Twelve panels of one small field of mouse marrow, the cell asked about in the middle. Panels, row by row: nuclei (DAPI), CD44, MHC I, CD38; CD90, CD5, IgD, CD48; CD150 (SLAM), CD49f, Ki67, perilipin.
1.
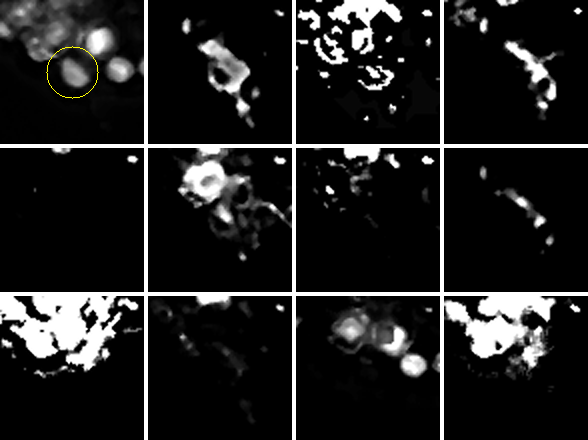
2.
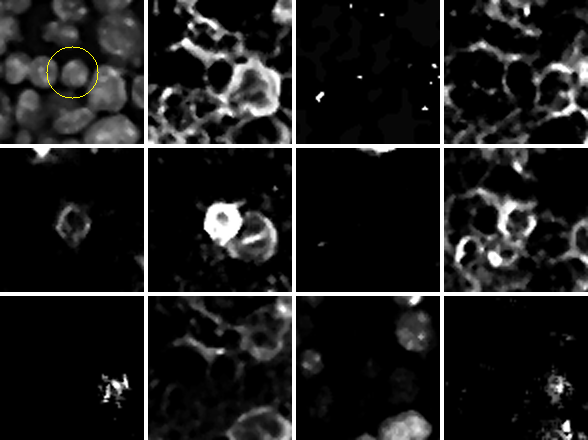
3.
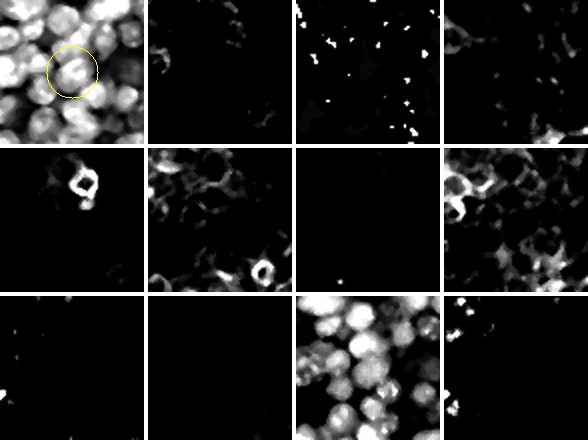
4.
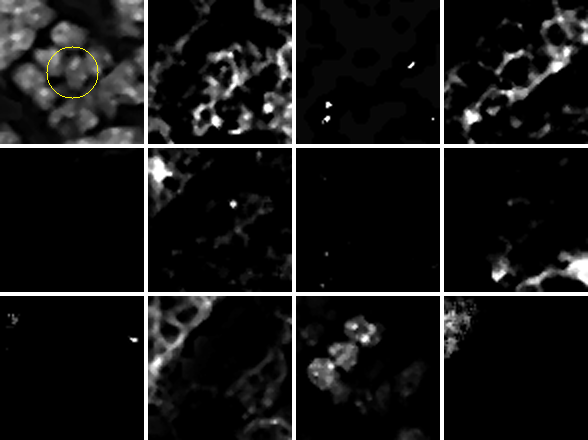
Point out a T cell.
That is picture 2.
